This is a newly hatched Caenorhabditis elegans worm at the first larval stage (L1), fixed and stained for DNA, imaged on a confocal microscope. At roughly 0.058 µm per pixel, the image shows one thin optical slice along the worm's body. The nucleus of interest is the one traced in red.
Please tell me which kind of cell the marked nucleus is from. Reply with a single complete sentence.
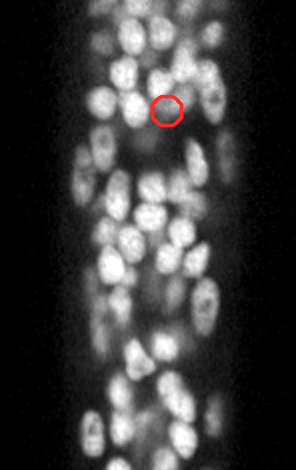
The cell with the marked nucleus is a GLR cell.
